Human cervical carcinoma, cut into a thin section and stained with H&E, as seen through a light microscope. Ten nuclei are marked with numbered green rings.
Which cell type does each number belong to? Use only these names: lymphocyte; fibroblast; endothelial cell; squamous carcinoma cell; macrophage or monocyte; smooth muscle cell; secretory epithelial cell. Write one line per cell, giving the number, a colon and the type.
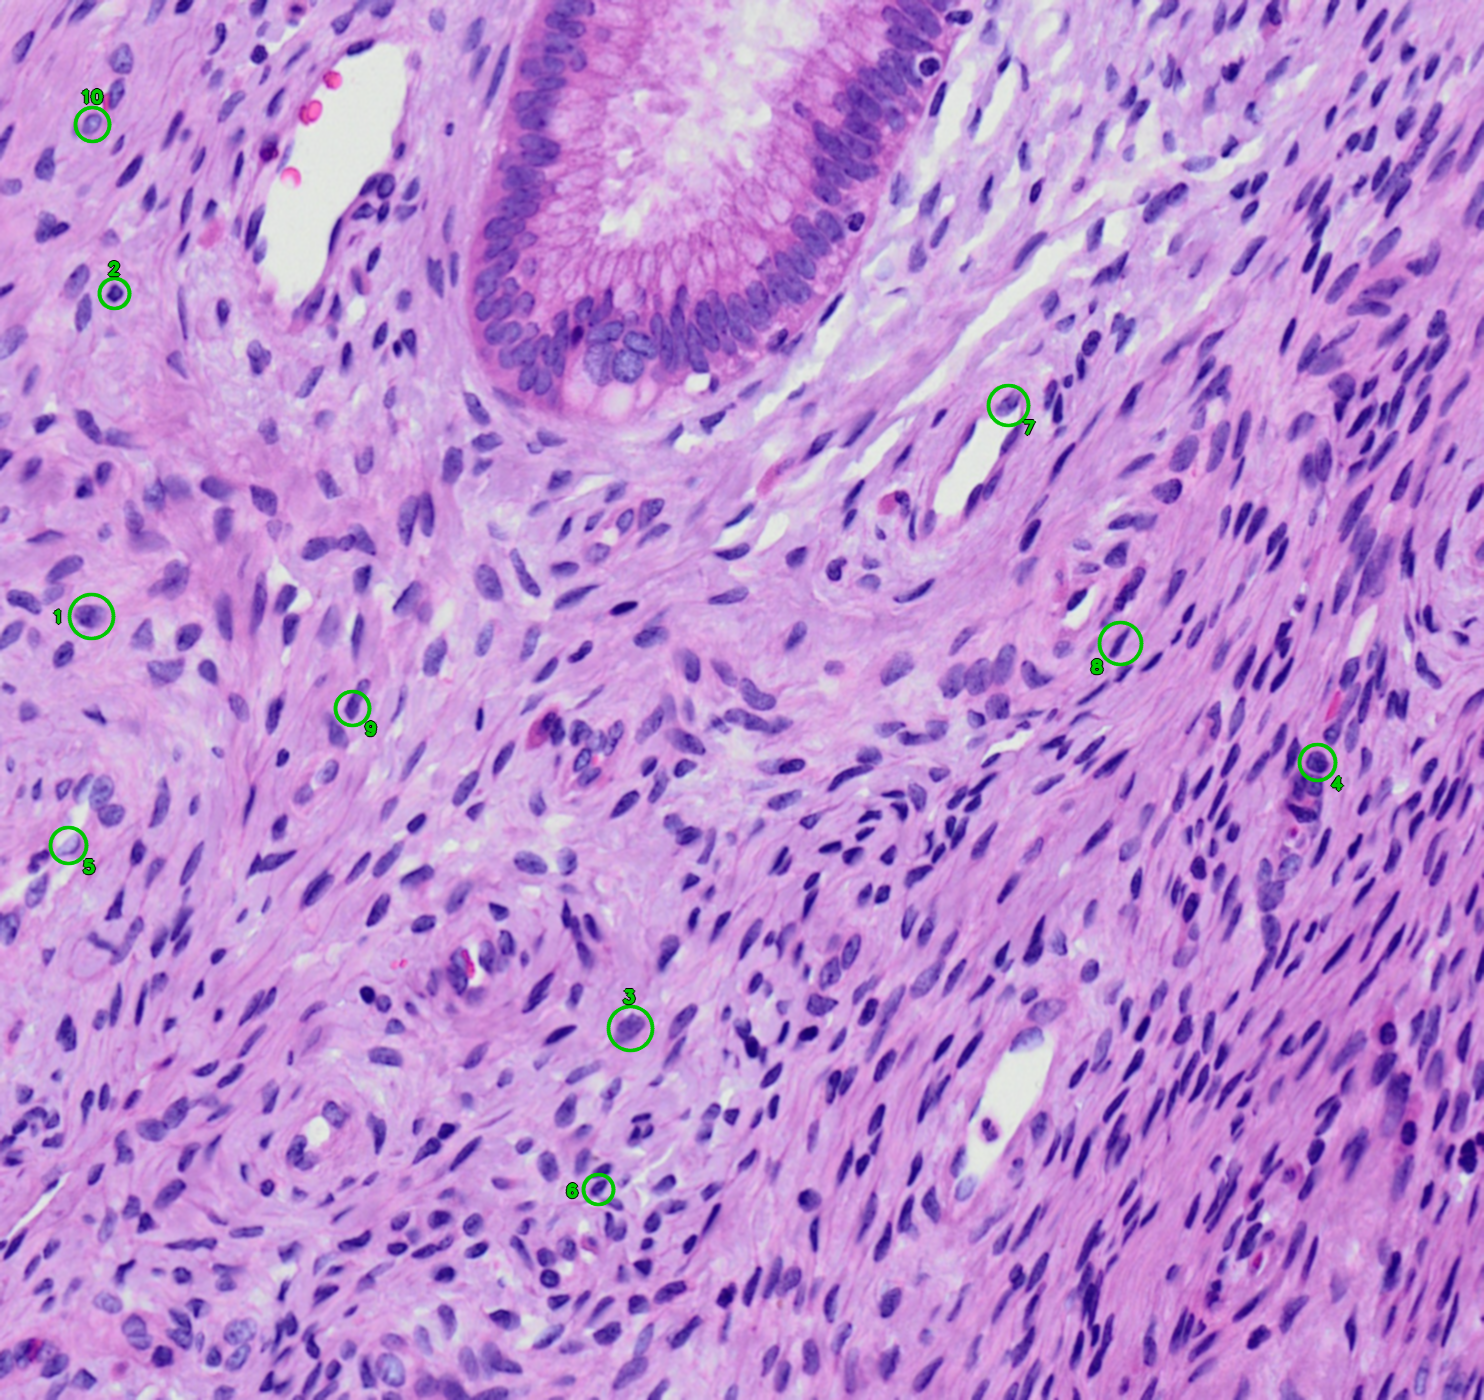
1: fibroblast
2: fibroblast
3: fibroblast
4: endothelial cell
5: endothelial cell
6: fibroblast
7: endothelial cell
8: fibroblast
9: fibroblast
10: endothelial cell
